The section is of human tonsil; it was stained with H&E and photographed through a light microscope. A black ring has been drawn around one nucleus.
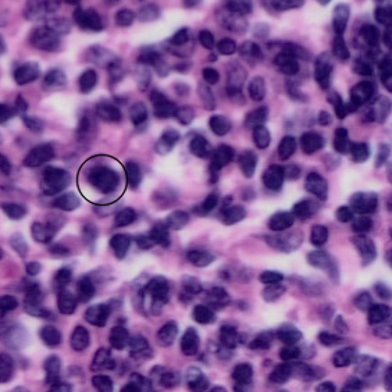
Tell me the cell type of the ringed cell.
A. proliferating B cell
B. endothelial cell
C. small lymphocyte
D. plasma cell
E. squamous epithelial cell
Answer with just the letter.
A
